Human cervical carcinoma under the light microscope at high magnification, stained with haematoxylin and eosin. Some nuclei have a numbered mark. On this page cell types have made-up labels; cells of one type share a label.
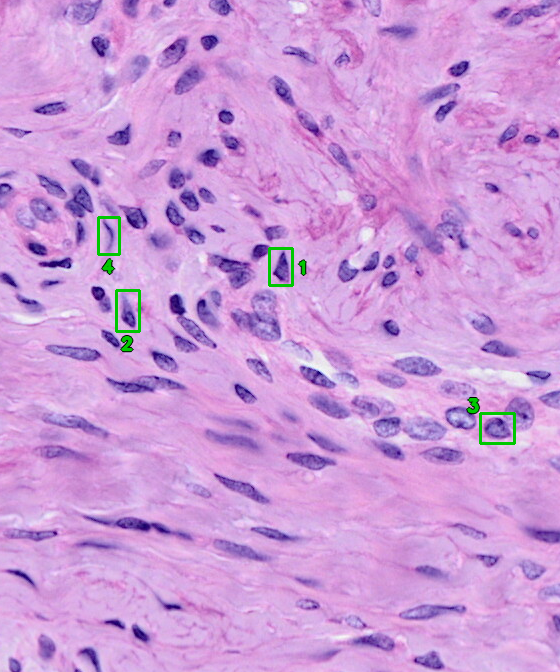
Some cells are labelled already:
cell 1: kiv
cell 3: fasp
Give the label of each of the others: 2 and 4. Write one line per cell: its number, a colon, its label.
2: kiv
4: kiv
